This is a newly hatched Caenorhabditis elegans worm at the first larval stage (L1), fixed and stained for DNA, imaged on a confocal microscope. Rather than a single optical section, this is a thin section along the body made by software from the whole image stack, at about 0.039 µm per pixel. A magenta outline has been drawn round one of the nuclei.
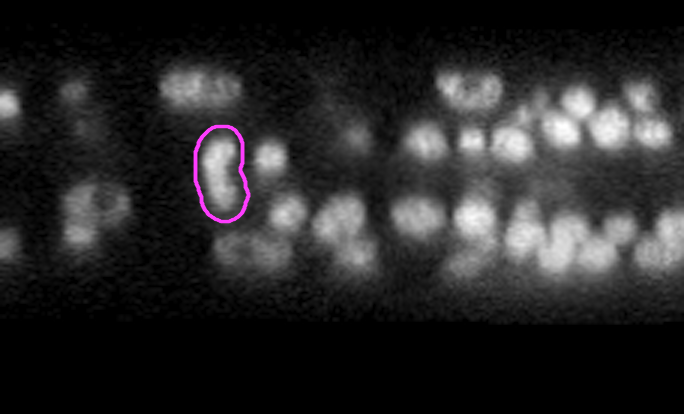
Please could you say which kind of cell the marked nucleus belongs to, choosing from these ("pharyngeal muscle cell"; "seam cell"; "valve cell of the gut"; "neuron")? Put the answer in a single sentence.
The marked nucleus belongs to a valve cell of the gut.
